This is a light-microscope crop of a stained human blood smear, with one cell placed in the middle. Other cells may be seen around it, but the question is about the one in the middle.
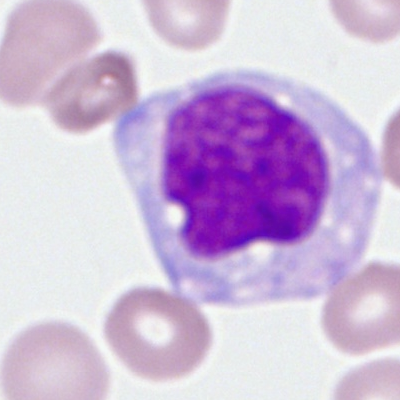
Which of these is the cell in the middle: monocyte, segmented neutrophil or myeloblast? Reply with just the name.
monocyte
